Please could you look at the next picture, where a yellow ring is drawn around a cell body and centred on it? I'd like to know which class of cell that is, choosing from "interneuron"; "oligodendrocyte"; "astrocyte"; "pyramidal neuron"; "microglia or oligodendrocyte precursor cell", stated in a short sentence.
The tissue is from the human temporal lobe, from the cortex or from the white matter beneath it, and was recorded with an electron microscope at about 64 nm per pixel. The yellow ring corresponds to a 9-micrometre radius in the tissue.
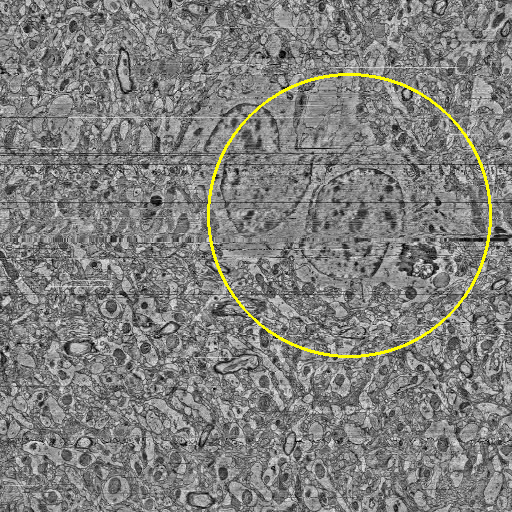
The ring's centre lies on an astrocyte.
